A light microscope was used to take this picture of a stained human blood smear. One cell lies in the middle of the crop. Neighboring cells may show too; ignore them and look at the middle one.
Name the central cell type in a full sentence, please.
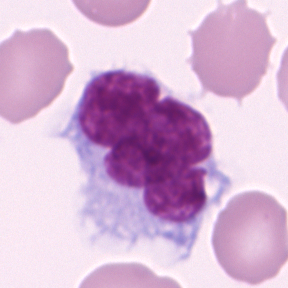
Regarding the central cell, it is a hairy cell.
